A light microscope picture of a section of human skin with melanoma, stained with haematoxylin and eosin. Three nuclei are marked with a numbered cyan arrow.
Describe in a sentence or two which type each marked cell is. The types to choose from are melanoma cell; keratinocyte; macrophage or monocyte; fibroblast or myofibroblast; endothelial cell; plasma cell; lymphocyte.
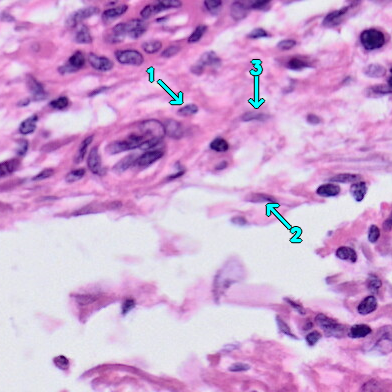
Cell 1 is a lymphocyte, cell 2 is a fibroblast or myofibroblast and cell 3 is a fibroblast or myofibroblast.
